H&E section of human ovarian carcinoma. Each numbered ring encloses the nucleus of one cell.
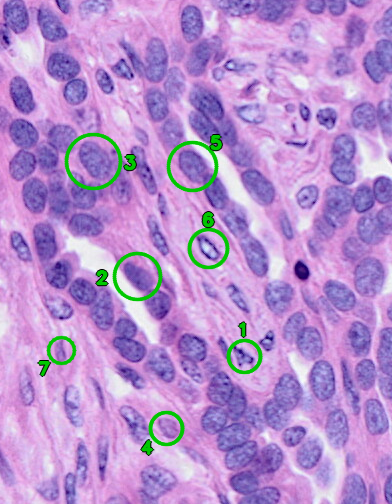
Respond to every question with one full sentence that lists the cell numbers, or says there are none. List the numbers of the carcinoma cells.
Regarding the numbered cells 2, 3 and 5, these are carcinoma cells.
